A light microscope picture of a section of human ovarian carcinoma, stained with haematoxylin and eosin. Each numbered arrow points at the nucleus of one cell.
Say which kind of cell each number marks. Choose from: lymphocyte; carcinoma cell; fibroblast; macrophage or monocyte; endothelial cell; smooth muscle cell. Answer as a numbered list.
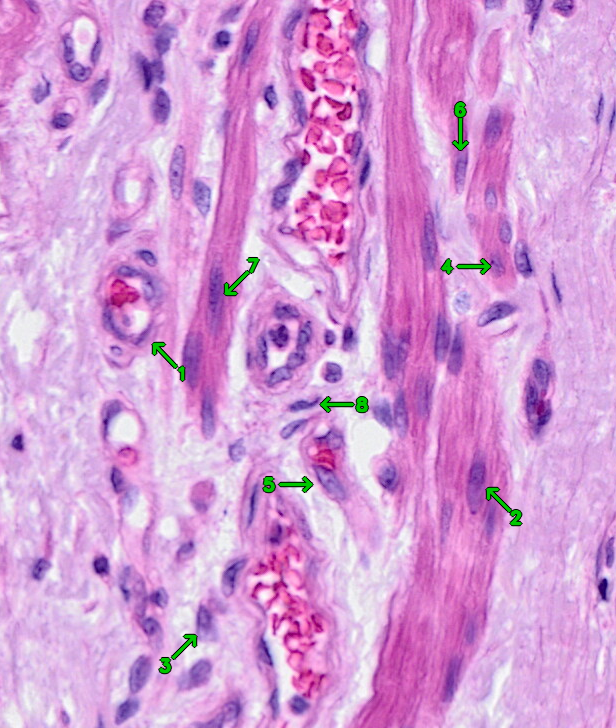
1. endothelial cell
2. smooth muscle cell
3. fibroblast
4. smooth muscle cell
5. endothelial cell
6. smooth muscle cell
7. smooth muscle cell
8. fibroblast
